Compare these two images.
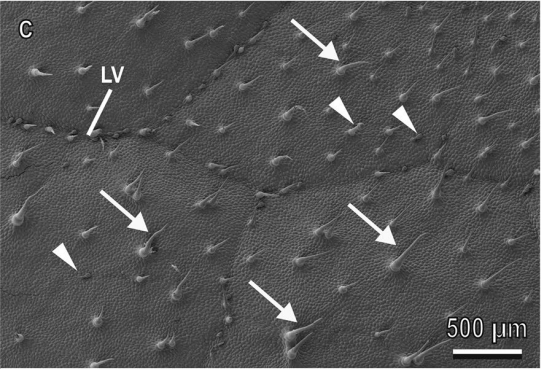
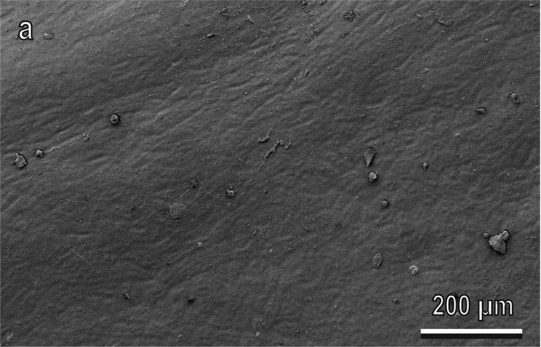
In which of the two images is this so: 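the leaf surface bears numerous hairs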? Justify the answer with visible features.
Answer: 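First image: many pointed hairs project from the surface, scattered over it and along the veins. Second image: the surface is smooth with only small debris and no hairs.
Answer: the first image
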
